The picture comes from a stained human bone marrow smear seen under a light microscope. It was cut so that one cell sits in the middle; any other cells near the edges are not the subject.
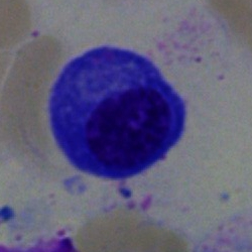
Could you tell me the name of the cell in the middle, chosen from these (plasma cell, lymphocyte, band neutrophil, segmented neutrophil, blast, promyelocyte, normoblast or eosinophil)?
plasma cell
